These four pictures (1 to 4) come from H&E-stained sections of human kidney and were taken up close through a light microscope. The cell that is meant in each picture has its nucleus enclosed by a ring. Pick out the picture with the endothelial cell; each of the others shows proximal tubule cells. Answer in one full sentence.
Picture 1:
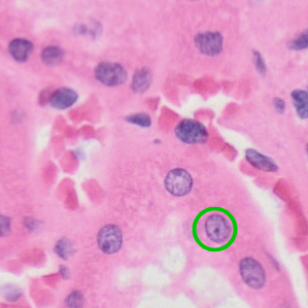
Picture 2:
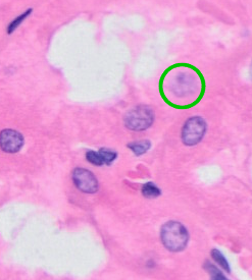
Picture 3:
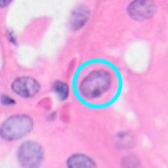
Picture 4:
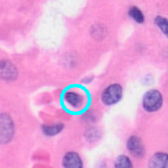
The picture with the endothelial cell is 4.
